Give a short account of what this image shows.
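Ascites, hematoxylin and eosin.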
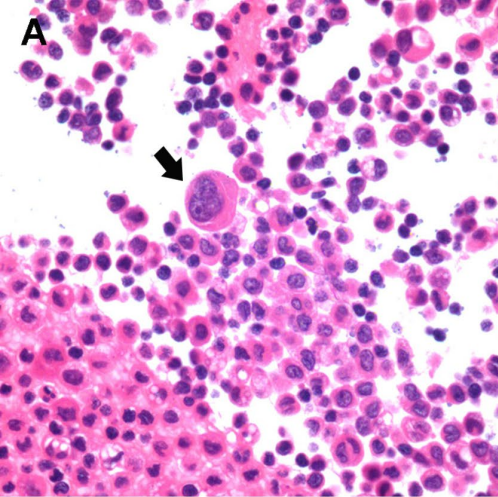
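The cells are mostly round with dark purple nuclei and pink cytoplasm. One cell stands out by its large size, its big nucleus with coarse chromatin and its wide rim of pink cytoplasm. Some cells contain clear vacuoles in their cytoplasm. Pink amorphous material lies in sheets at the lower left.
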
